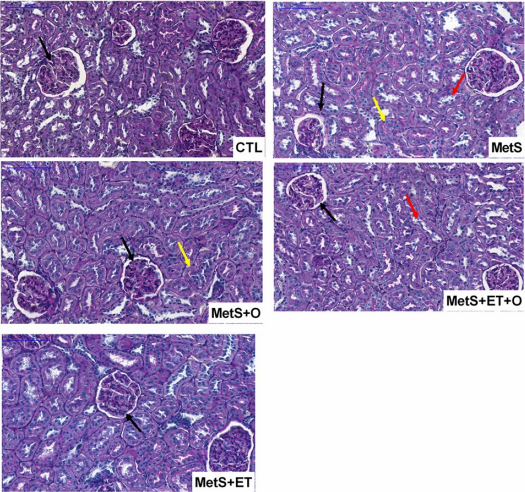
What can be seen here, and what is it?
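These are sections of kidney cortex showing rounded glomeruli, each a capillary tuft set inside a clear space bounded by a capsule, scattered among closely packed cross-sectioned tubules lined by purple-stained epithelium. Some glomerular tufts sit within a wide clear space around them, and some tubules have enlarged open lumens.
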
